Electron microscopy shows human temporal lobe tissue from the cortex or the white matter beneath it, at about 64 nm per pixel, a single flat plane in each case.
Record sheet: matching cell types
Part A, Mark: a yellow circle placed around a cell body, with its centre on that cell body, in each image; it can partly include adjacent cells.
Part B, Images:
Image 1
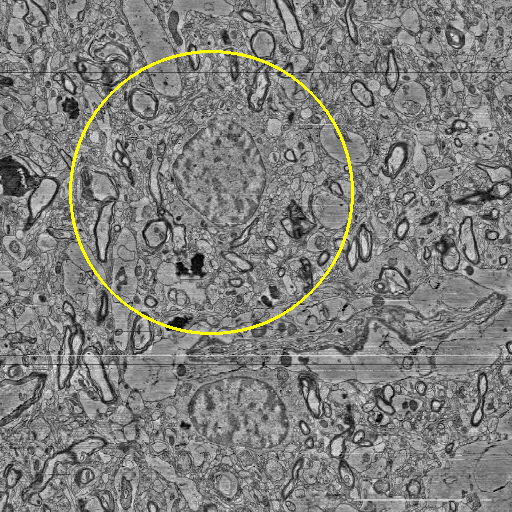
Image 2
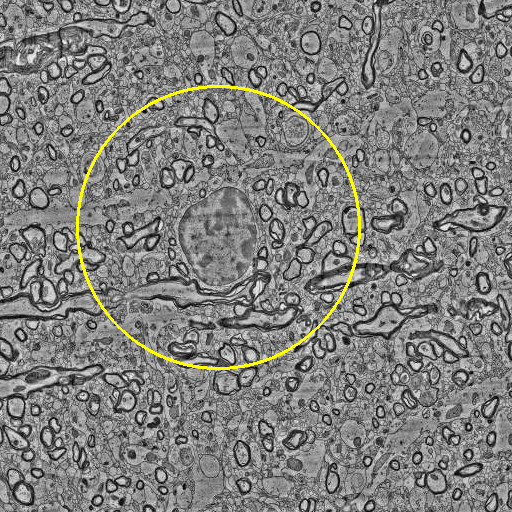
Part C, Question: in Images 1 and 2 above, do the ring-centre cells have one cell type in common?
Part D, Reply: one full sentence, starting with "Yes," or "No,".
No, the ring-centre cells of Image 1 and Image 2 are each of a separate cell type.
